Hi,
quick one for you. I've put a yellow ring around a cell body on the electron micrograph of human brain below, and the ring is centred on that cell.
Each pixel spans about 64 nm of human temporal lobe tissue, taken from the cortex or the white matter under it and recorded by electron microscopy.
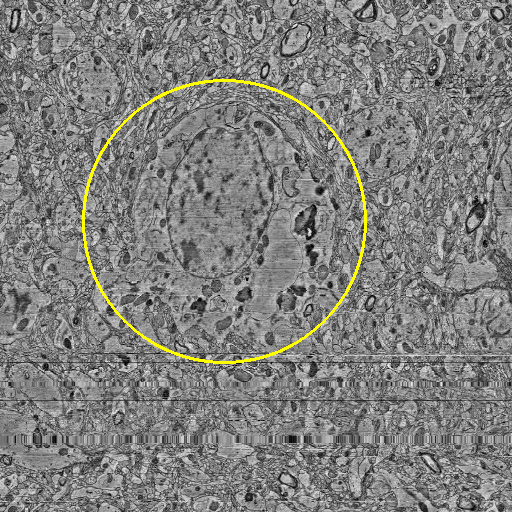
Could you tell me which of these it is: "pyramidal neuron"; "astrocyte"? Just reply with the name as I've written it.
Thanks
astrocyte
